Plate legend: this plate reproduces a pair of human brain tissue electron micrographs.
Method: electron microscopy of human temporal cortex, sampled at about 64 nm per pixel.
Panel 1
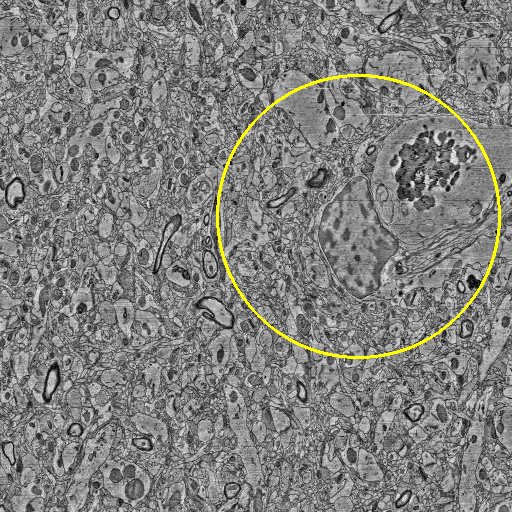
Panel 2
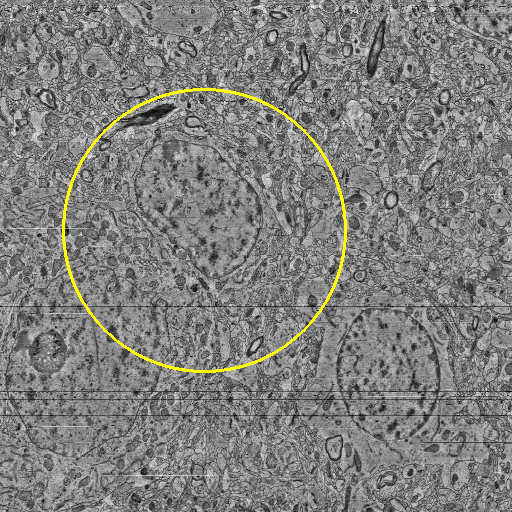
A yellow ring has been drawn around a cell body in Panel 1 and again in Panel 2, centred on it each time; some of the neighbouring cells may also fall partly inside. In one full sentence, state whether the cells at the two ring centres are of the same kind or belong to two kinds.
The ring-centred cells of Panel 1 and Panel 2 belong to two kinds.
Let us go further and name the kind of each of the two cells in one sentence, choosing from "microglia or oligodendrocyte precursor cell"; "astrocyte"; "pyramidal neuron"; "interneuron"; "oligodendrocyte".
The ring of the first picture is on a microglial cell or oligodendrocyte precursor cell, the ring of the second on an interneuron.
